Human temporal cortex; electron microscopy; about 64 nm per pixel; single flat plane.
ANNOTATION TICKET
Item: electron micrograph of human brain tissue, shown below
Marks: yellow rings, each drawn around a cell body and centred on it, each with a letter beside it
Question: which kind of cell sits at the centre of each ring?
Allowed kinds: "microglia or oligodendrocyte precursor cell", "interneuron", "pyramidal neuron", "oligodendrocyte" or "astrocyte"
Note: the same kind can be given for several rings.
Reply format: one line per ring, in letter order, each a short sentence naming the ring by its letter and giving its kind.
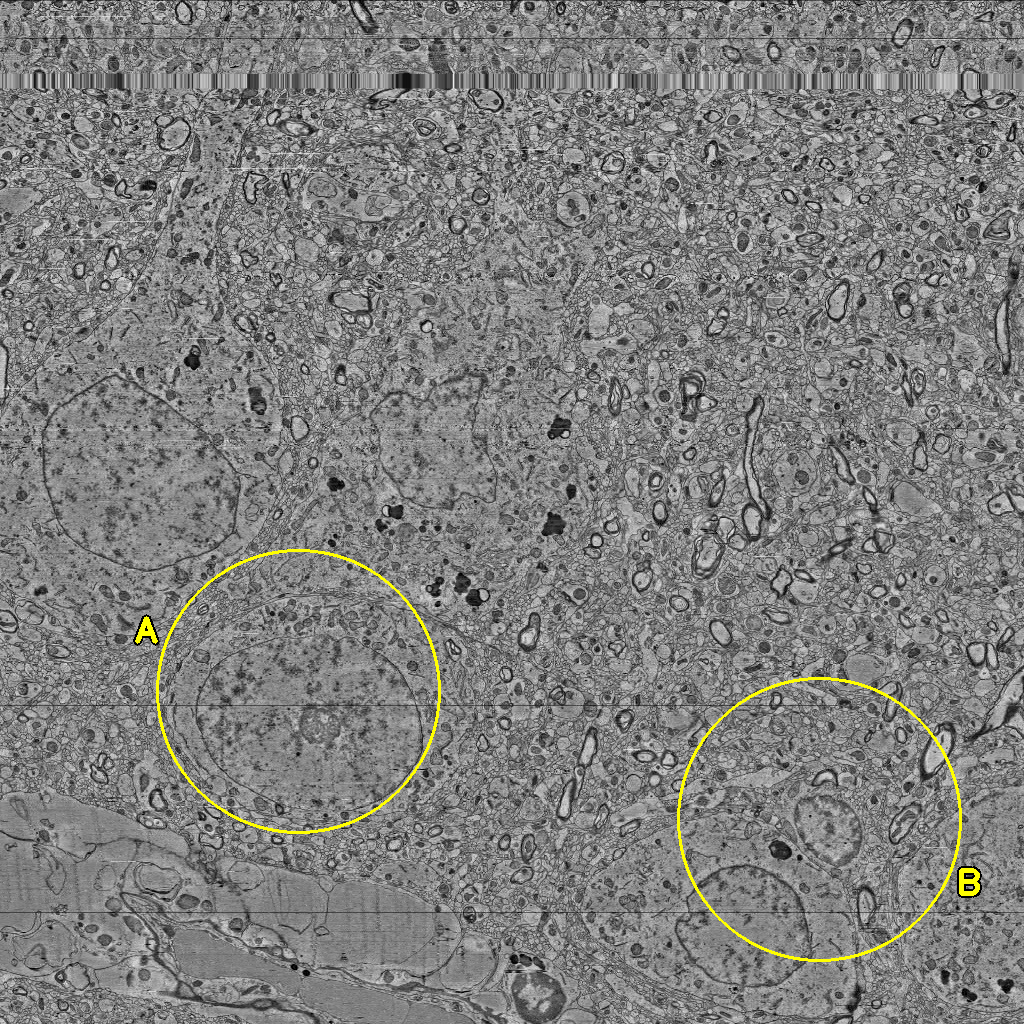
The cell at the centre of ring A is an interneuron.
The cell at the centre of ring B is an oligodendrocyte.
